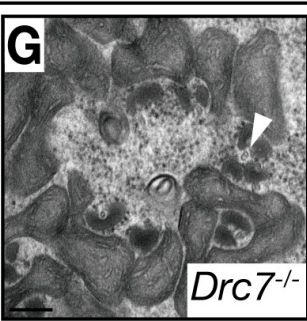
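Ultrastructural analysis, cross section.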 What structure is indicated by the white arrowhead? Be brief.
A: Microtubule-like structures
